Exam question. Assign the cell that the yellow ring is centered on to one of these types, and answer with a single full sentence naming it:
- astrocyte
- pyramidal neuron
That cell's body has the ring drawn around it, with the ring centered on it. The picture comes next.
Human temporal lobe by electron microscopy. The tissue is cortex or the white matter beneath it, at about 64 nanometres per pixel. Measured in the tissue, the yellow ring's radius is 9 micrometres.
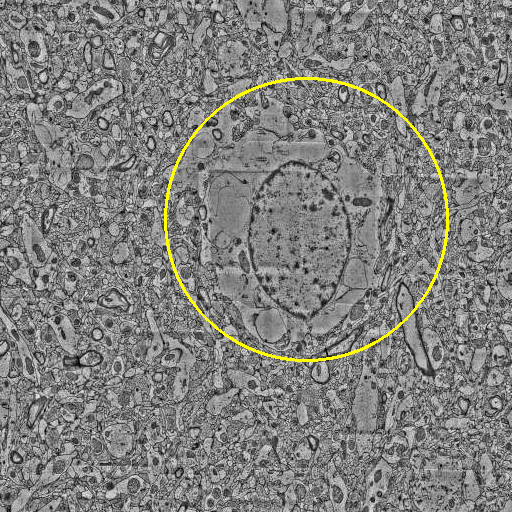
In the micrograph, the cell the yellow ring is centered on is an astrocyte.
